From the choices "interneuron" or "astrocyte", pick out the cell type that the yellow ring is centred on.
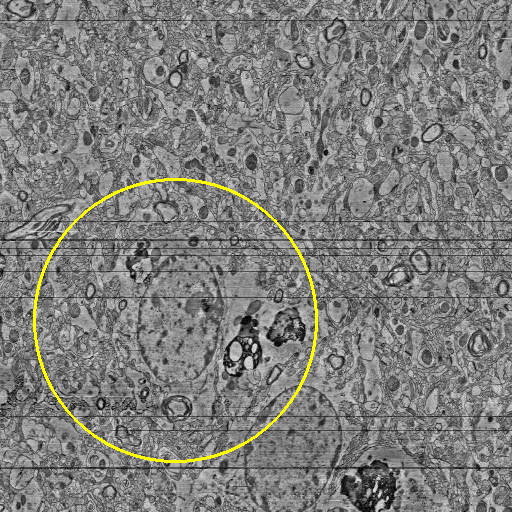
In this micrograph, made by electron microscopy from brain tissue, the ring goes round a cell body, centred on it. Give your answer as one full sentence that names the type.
The yellow ring is centred on an astrocyte, whose cell body it encircles in the picture.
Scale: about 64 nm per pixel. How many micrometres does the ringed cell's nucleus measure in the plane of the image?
In this plane the nucleus is clearly longer than it is wide: roughly 9 by 5 micrometres.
